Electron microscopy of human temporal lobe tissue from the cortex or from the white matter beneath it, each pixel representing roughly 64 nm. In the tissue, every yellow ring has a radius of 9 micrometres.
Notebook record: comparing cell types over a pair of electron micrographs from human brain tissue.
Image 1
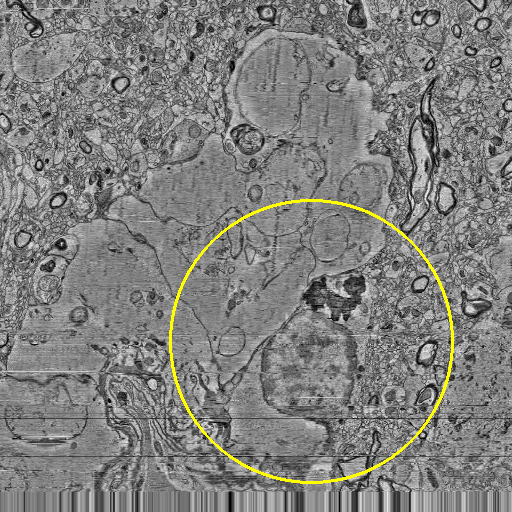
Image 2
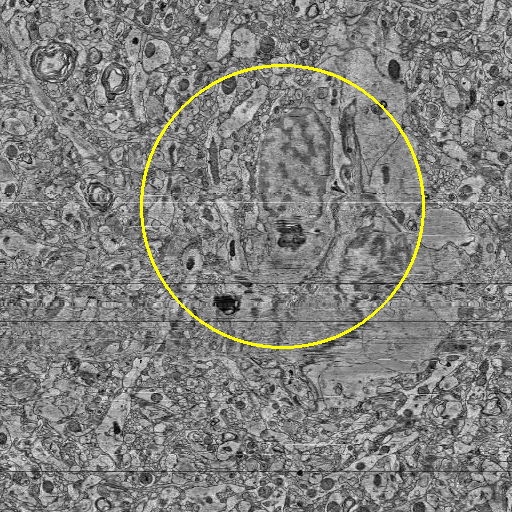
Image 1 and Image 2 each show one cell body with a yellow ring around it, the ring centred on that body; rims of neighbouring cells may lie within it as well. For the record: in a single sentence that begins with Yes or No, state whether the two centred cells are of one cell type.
Yes, one cell type is shared by the centred cells of Image 1 and Image 2.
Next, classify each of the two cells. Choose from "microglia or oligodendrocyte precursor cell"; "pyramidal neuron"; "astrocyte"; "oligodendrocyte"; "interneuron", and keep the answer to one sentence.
Each of the two cells is an oligodendrocyte.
